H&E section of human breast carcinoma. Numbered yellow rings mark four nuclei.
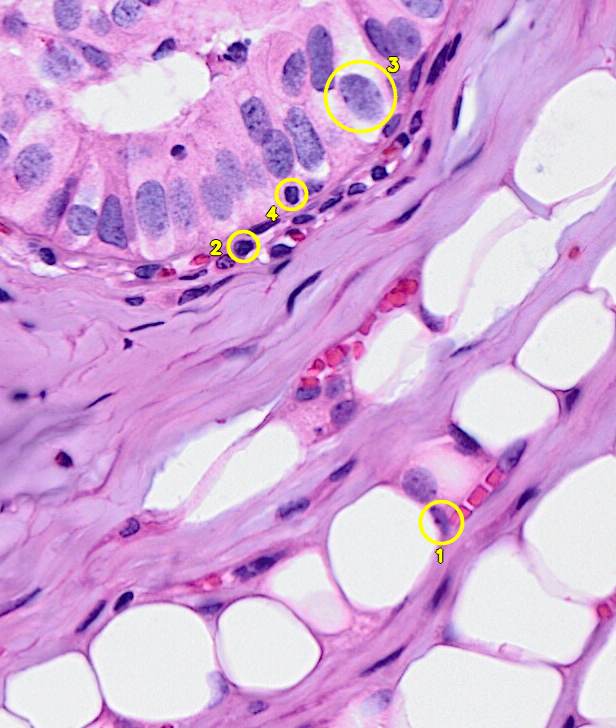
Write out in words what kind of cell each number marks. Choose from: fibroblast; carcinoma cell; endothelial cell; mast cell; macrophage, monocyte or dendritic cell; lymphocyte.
Cell 1 is an endothelial cell. Cells 2 and 4 are lymphocytes. Cell 3 is a carcinoma cell.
